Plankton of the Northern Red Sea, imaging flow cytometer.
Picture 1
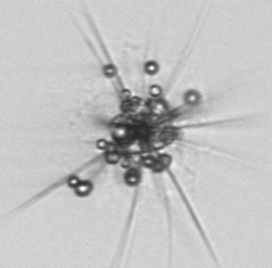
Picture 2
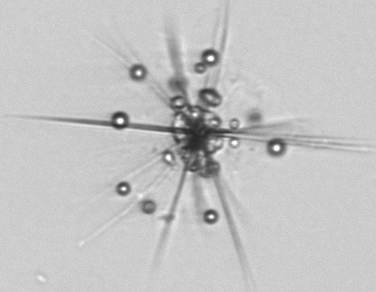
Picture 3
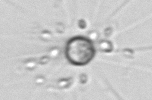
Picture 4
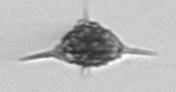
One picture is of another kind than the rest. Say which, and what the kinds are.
Picture 4 shows a silicoflagellate; the rest show radiolarians.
